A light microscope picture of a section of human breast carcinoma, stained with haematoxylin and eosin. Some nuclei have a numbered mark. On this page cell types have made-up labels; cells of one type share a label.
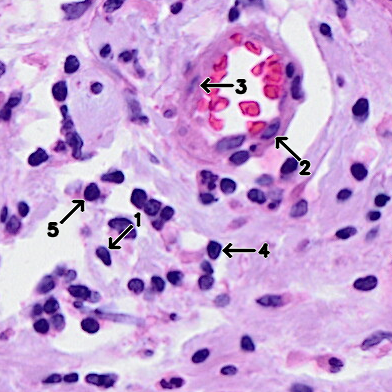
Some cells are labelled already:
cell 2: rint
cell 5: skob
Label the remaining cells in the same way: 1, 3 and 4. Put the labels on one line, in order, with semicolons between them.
skob; rint; skob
